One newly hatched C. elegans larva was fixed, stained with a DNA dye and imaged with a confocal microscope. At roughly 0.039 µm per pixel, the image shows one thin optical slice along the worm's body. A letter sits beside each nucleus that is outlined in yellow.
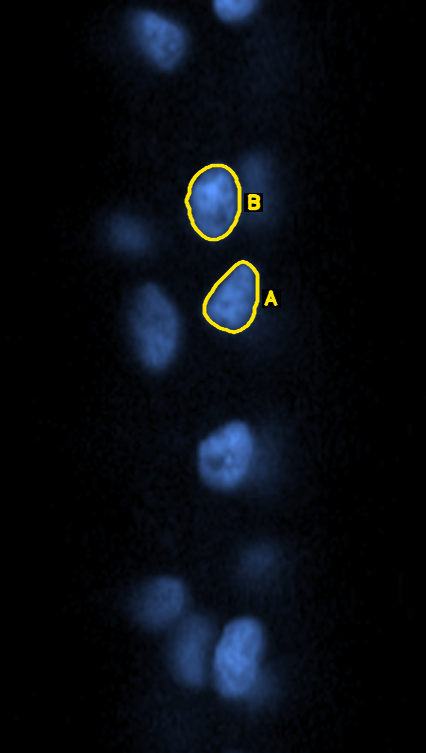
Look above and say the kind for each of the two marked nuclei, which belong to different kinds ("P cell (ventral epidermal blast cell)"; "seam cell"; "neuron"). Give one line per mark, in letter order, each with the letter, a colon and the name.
A: P cell (ventral epidermal blast cell)
B: seam cell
